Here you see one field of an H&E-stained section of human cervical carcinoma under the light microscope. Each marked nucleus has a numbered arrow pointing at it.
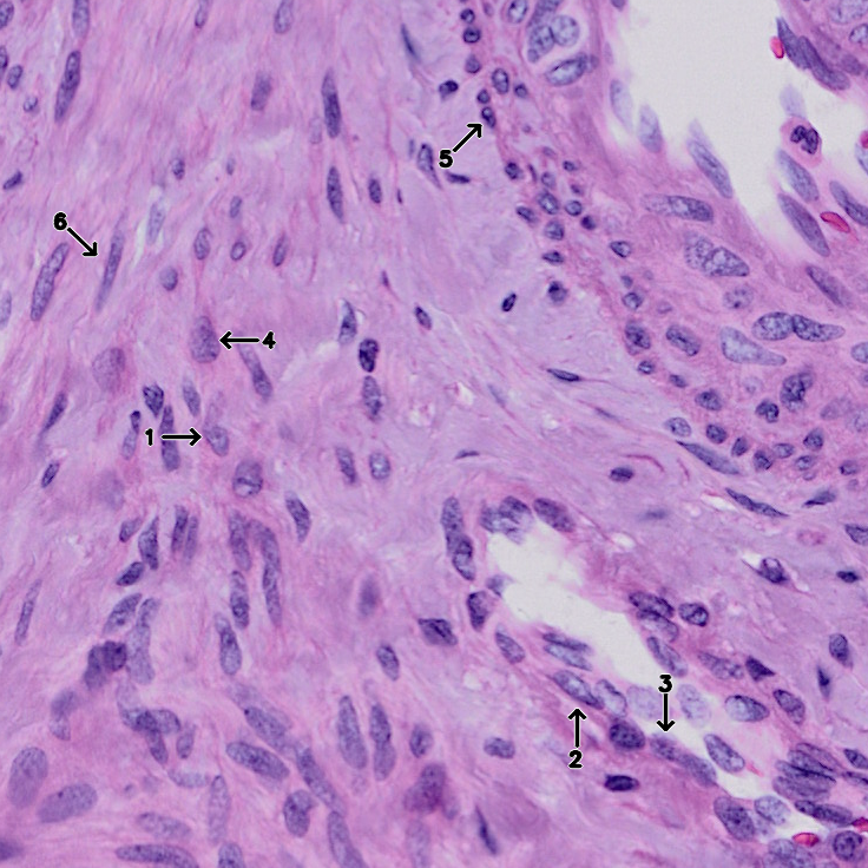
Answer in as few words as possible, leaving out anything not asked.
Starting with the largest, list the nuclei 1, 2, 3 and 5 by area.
2, 1, 3, 5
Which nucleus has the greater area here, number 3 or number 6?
6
